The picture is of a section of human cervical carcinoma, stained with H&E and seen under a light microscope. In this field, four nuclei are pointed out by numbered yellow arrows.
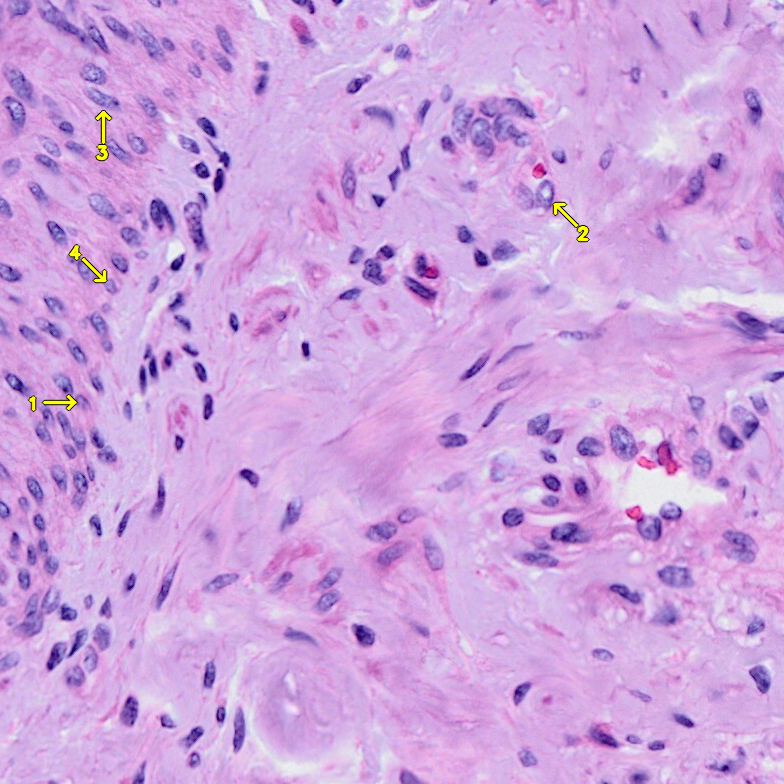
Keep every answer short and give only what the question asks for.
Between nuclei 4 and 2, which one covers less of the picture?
4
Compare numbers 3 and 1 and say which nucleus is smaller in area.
1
